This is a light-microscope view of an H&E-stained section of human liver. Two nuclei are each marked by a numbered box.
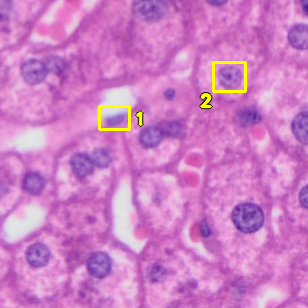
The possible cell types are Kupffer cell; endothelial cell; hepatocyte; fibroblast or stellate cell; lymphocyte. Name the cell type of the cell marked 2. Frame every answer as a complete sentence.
The cell assigned the number 2 is a hepatocyte.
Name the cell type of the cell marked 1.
Recognised here as an endothelial cell is the cell numbered 1.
